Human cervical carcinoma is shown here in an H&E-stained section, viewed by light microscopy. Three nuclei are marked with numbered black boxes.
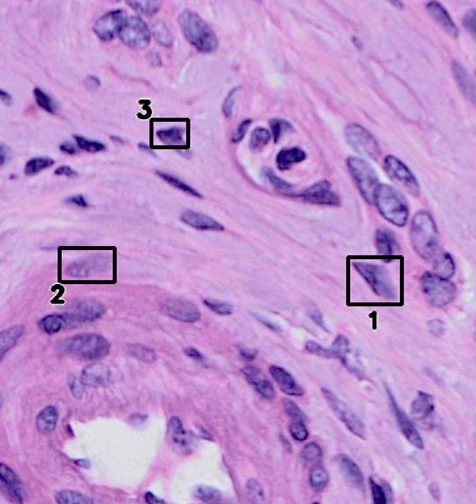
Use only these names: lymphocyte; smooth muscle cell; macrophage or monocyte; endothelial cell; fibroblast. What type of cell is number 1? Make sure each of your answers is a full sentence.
The cell to which the number 1 is assigned is a fibroblast.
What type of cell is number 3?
The cell that goes by number 3 is a fibroblast.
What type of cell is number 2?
The nucleus marked 2 is the nucleus of a smooth muscle cell.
